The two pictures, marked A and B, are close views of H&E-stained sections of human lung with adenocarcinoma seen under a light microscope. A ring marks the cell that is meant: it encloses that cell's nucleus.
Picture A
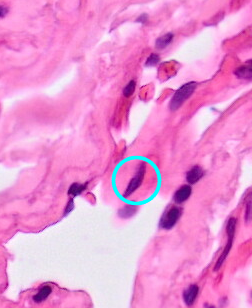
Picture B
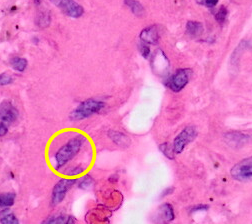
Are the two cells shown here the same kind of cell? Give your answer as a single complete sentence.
No, they differ: the cell is an endothelial cell in picture A and a “smooth muscle cell or pericyte” in picture B.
